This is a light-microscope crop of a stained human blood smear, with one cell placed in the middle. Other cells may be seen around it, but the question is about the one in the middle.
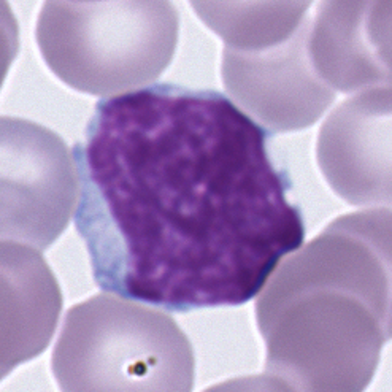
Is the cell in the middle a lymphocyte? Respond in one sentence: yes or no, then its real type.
Yes, the cell located at the center is a lymphocyte.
